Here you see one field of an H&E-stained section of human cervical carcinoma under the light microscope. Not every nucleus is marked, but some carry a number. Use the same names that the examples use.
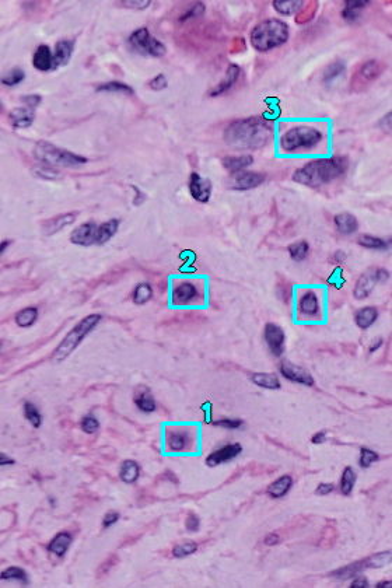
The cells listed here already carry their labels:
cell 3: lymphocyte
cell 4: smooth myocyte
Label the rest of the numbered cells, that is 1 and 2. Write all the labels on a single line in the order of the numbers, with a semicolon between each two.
smooth myocyte; smooth myocyte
